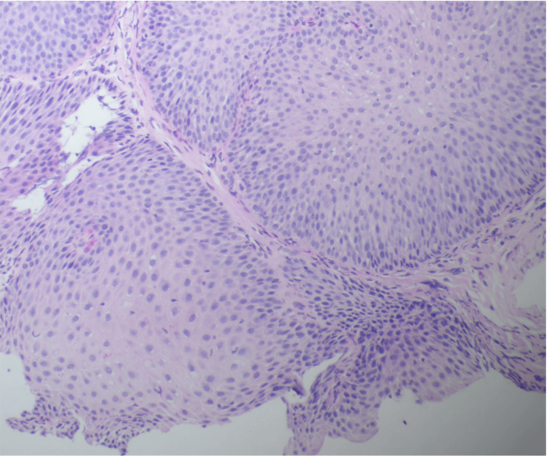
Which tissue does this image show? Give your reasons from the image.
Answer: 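Stratified layers of polygonal cells with pale pink cytoplasm. Thin strands of connective tissue run between epithelial masses. So: squamous mucosa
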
